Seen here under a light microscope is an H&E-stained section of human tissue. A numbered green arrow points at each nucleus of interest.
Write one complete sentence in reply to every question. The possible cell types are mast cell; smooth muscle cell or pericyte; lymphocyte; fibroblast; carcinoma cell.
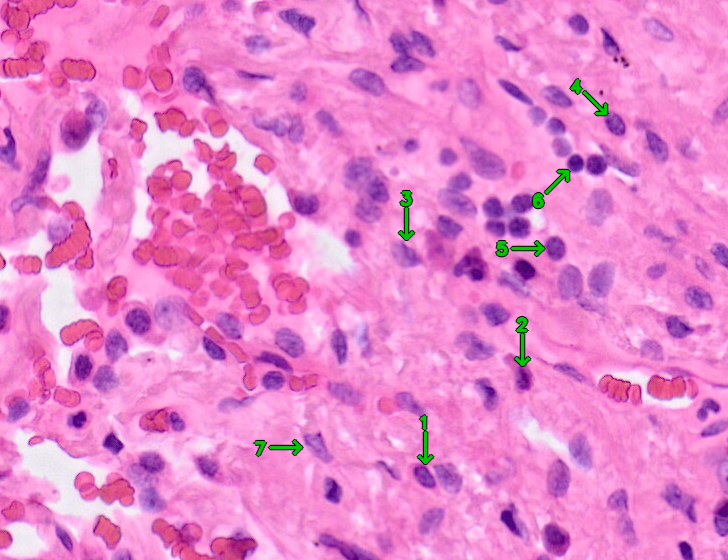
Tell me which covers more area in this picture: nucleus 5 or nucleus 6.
The larger nucleus is 5, at roughly 1.5 times the area of 6.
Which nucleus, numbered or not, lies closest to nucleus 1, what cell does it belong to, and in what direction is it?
Just to the right of nucleus 1 lies the nearest nucleus, which belongs to a fibroblast.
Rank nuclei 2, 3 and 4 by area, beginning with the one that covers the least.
The order from the smallest nucleus to the largest is 2, 4, 3.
